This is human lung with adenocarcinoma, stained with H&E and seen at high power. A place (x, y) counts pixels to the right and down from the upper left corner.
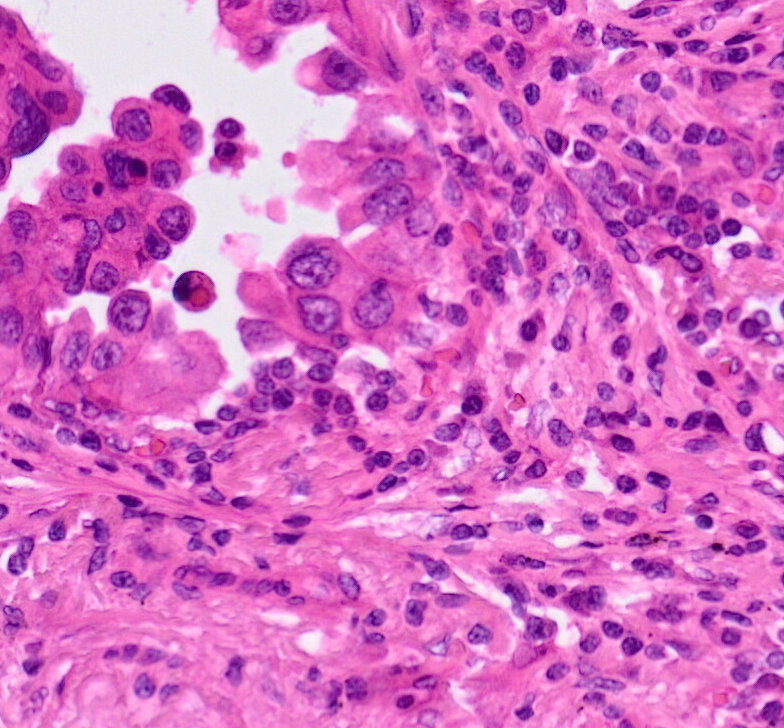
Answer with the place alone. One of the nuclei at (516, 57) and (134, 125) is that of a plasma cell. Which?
(516, 57)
